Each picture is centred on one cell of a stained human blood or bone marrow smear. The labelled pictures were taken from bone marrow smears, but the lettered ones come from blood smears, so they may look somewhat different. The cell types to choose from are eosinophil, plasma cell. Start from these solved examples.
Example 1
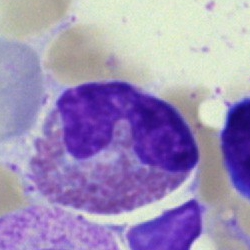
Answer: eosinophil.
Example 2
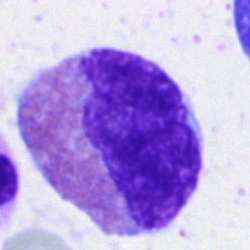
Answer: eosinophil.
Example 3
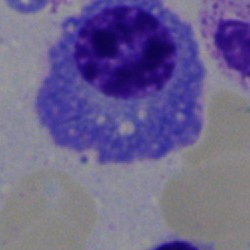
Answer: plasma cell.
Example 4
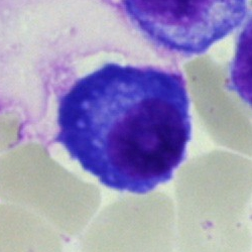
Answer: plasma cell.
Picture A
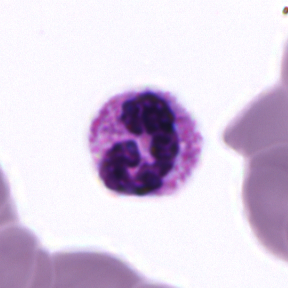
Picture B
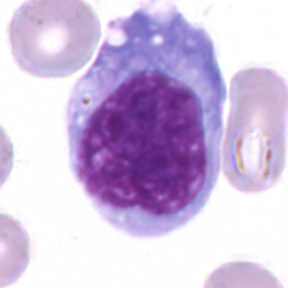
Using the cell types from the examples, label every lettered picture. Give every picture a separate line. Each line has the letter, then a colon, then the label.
A: eosinophil.
B: plasma cell.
